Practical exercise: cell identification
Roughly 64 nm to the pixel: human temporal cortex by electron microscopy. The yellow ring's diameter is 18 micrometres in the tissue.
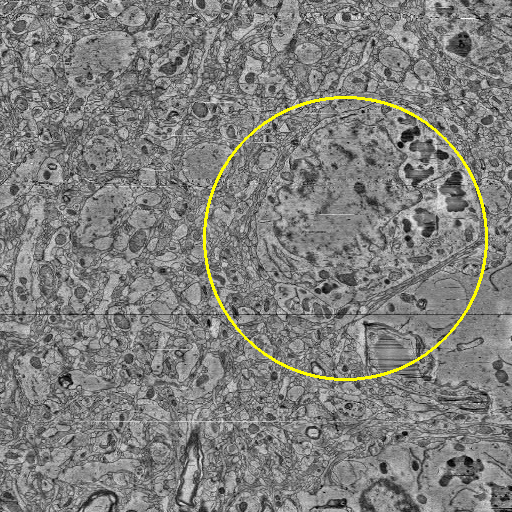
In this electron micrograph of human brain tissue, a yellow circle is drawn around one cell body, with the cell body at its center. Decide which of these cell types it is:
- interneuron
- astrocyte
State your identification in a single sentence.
The ringed cell is an interneuron.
